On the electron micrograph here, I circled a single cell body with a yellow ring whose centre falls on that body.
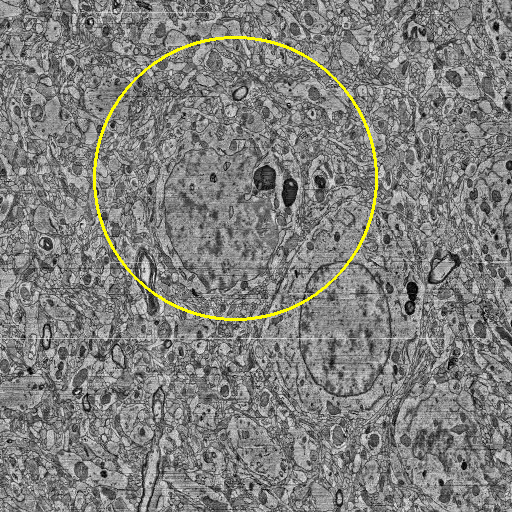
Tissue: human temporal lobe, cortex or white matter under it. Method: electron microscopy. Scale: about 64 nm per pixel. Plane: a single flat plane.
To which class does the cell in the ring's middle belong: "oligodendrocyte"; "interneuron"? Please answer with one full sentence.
In this picture, the cell body circled at the ring's centre belongs to an interneuron.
